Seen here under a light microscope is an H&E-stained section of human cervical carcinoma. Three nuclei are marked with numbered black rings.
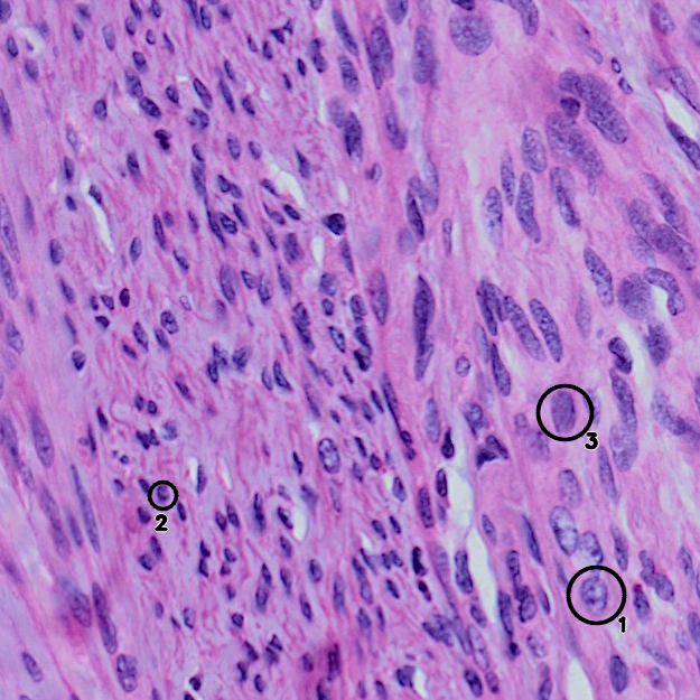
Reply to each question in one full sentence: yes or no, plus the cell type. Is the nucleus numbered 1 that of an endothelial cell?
Yes, to put it simply, cell number 1 is an endothelial cell.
